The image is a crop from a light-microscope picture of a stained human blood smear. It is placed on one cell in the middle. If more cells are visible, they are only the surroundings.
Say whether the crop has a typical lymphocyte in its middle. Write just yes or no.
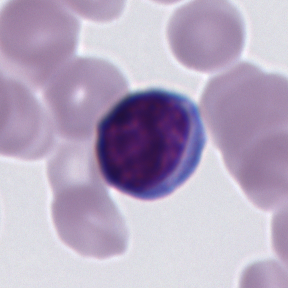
yes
